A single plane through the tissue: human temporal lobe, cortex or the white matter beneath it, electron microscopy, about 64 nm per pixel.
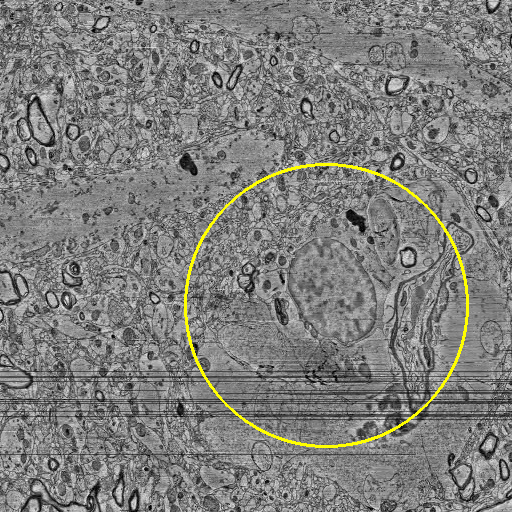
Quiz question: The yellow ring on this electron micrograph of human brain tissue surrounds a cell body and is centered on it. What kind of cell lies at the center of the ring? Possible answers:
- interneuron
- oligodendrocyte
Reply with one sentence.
The ring's center lies on an oligodendrocyte.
